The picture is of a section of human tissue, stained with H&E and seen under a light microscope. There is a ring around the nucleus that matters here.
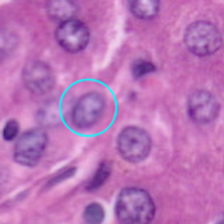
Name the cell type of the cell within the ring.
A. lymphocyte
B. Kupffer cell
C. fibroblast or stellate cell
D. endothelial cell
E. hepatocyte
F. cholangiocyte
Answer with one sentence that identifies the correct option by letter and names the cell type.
In agreement with option F, the cell within the ring is a cholangiocyte.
